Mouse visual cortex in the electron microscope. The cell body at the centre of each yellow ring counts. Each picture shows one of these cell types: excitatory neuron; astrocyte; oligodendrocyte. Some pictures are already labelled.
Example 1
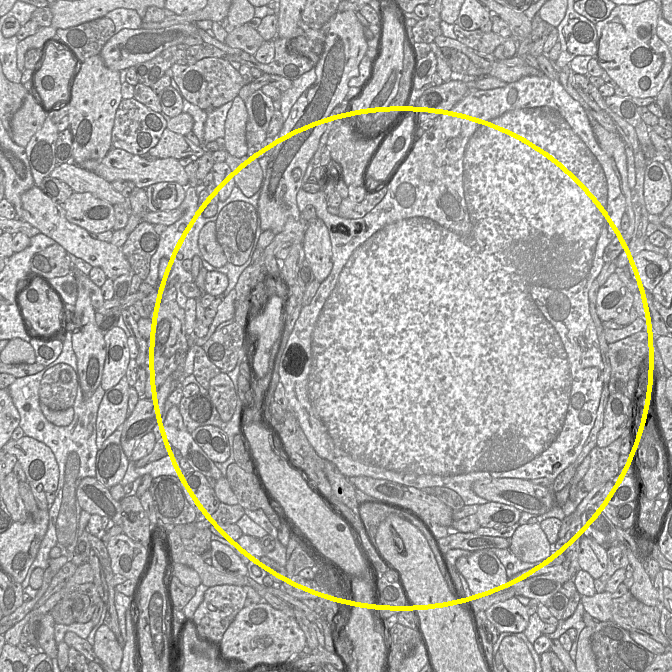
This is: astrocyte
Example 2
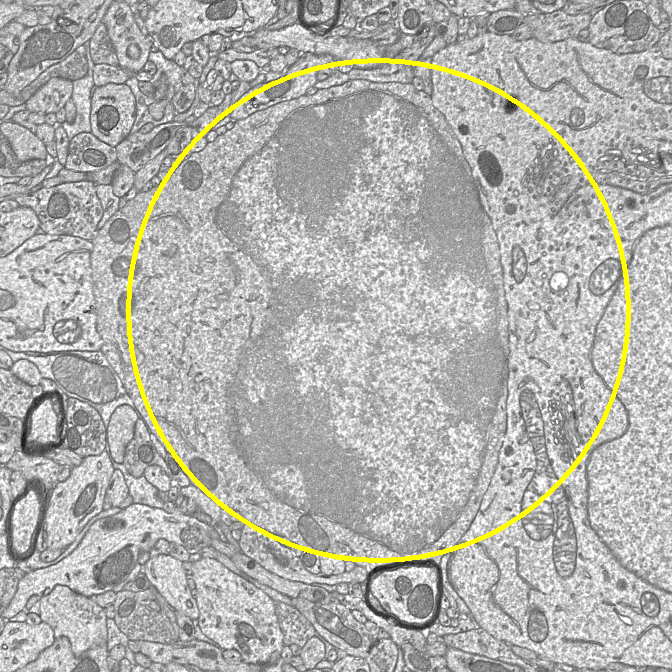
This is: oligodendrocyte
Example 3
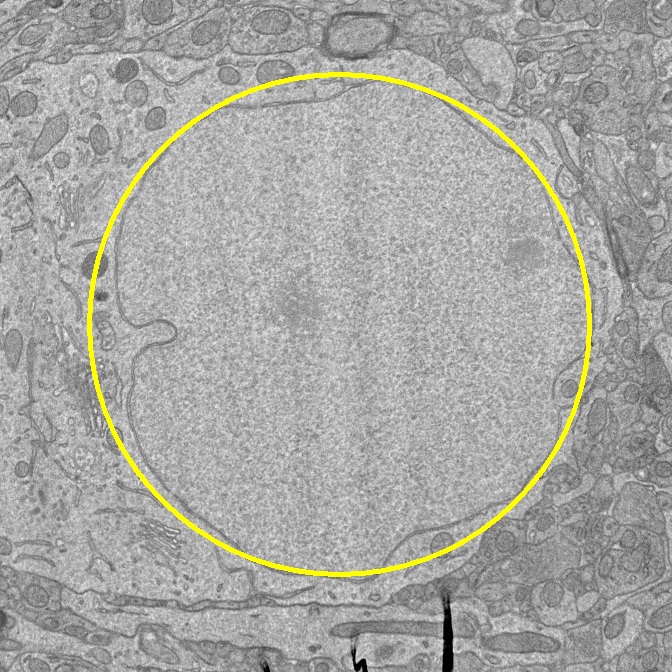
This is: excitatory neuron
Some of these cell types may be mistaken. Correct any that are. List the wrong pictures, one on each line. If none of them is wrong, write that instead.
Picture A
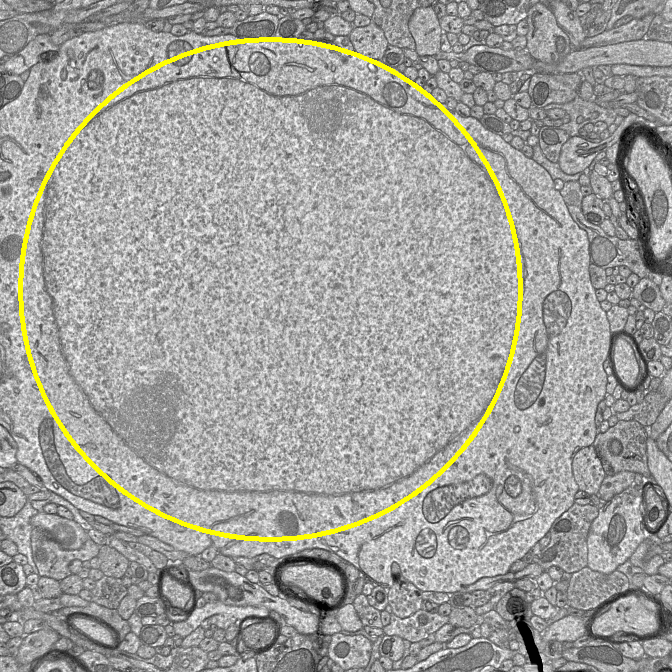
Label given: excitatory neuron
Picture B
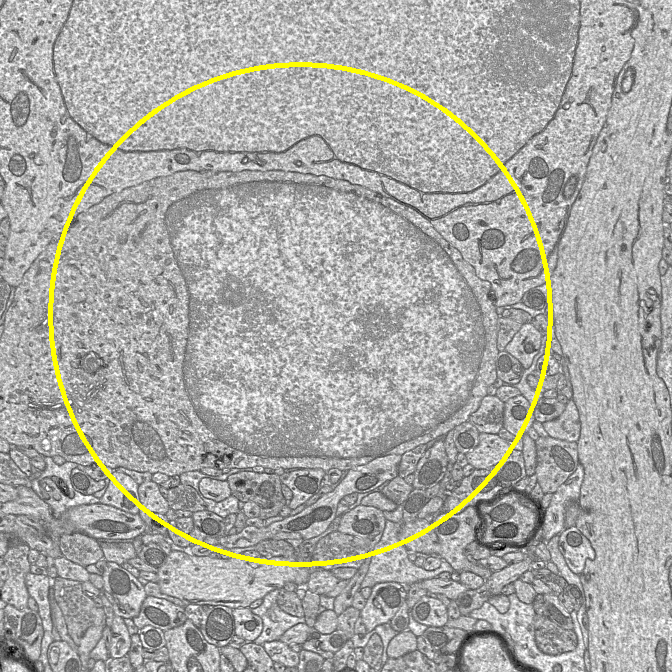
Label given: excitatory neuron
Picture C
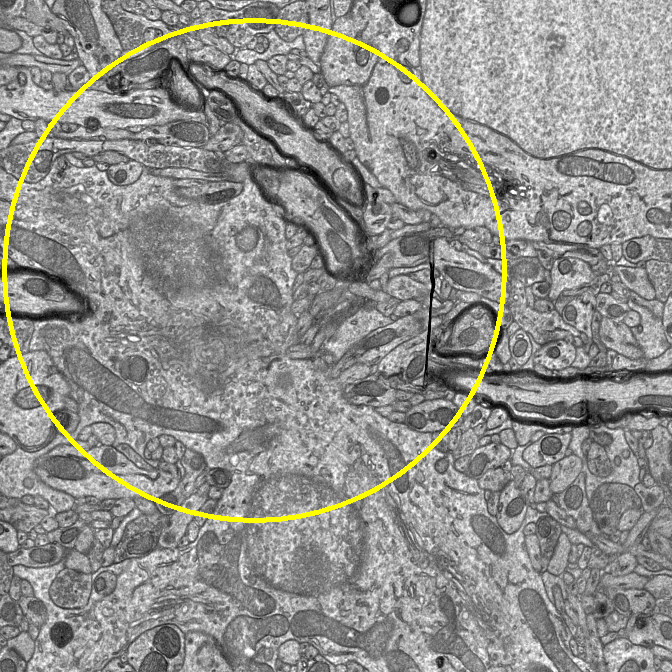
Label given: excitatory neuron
Wrong: B (excitatory neuron); correct: oligodendrocyte
Wrong: C (excitatory neuron); correct: astrocyte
